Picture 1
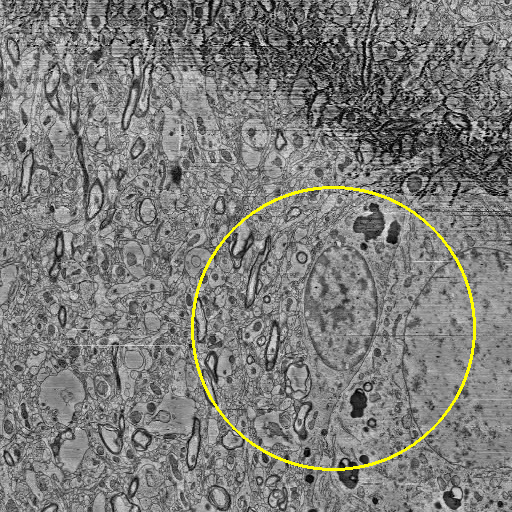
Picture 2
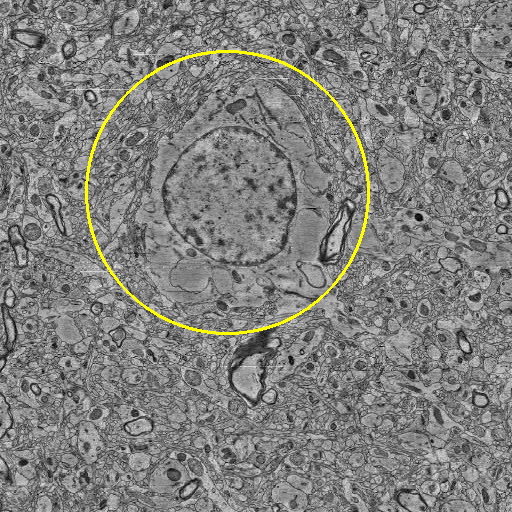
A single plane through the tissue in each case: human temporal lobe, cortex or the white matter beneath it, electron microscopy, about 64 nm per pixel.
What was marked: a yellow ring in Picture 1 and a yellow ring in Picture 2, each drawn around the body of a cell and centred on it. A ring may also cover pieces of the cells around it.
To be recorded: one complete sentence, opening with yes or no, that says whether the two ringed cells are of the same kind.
No, the two ringed cells are of two kinds.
